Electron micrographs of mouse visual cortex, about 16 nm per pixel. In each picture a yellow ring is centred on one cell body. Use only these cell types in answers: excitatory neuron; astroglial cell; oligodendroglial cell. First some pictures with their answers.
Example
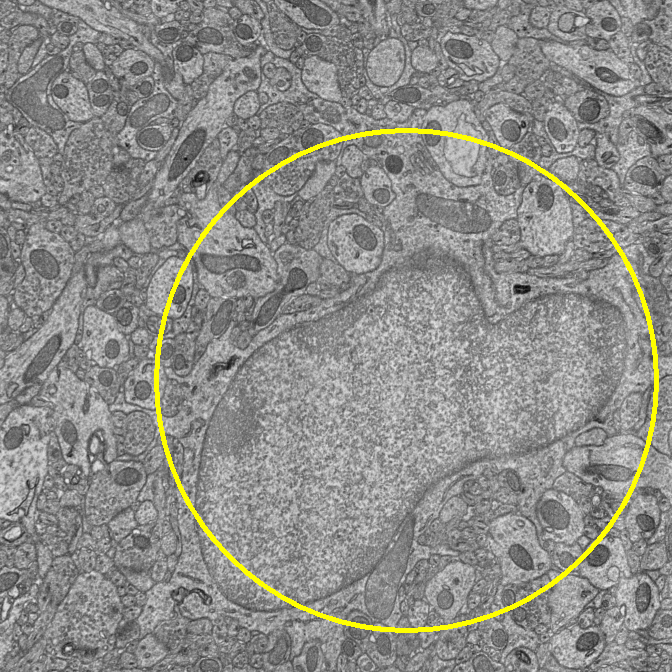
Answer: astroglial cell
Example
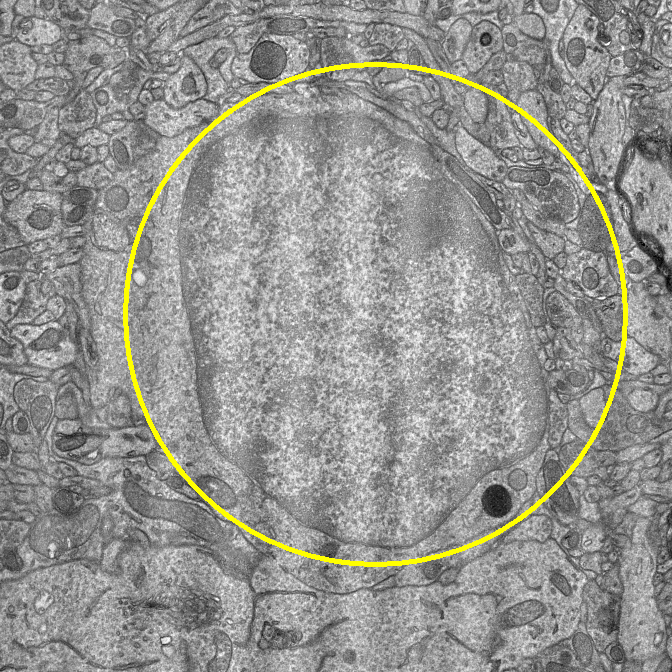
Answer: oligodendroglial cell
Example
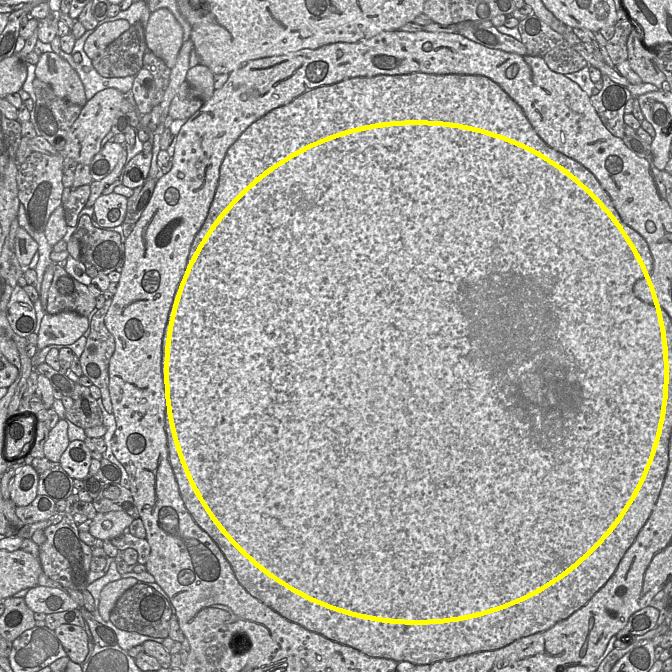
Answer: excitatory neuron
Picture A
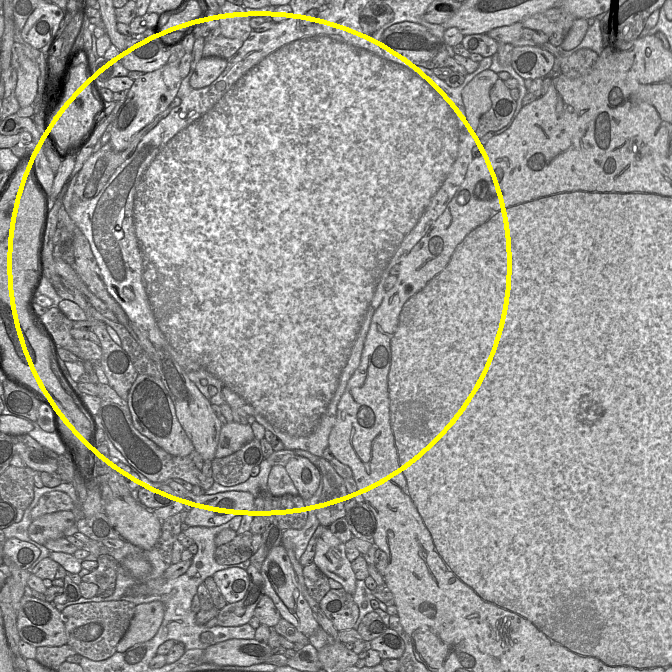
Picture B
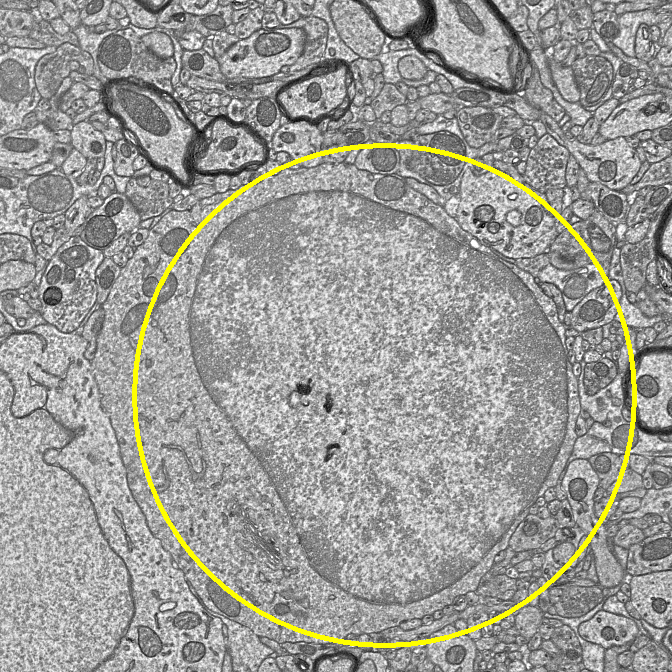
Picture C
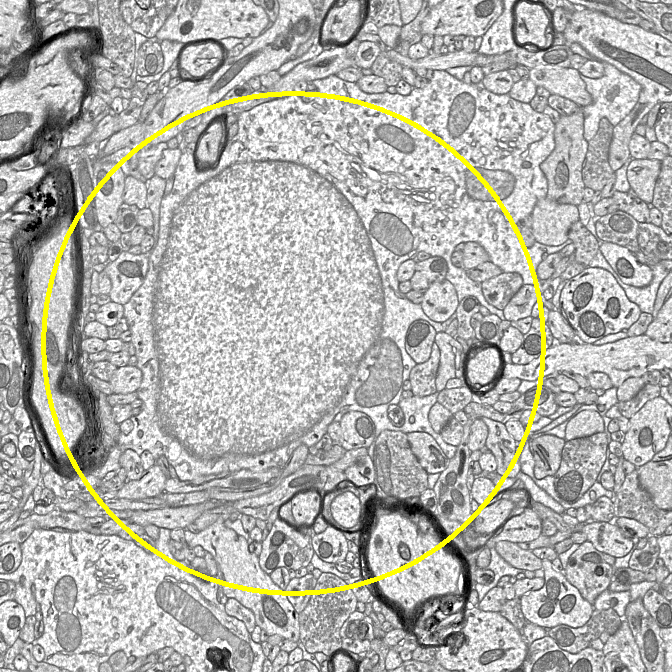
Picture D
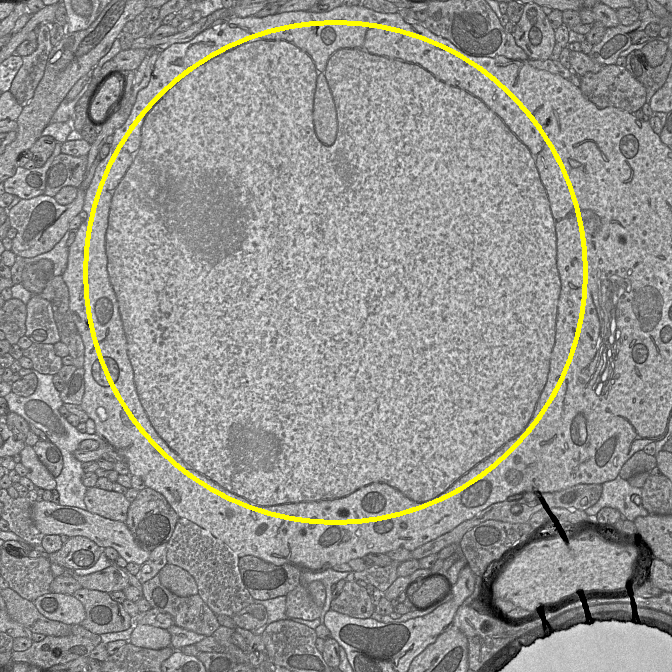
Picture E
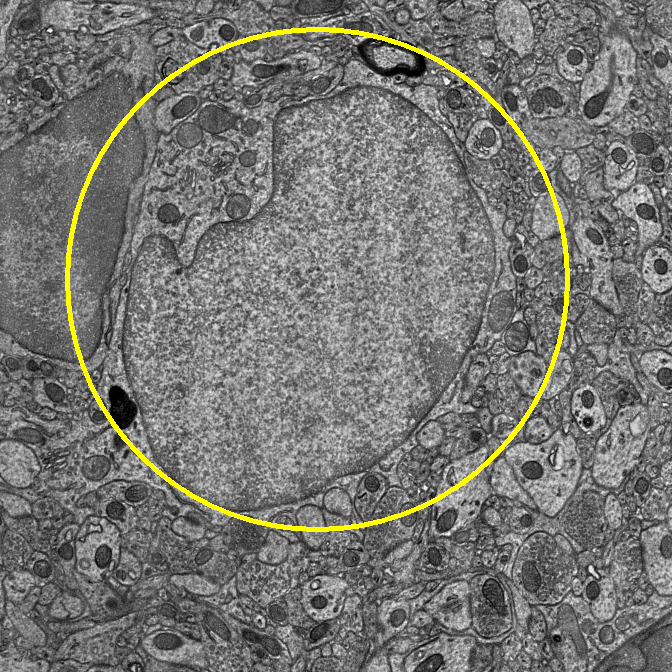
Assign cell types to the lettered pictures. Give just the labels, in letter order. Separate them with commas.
astroglial cell, oligodendroglial cell, astroglial cell, excitatory neuron, astroglial cell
